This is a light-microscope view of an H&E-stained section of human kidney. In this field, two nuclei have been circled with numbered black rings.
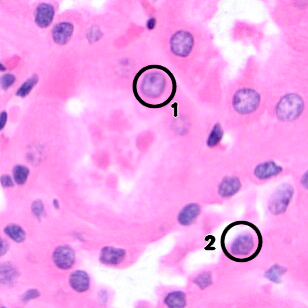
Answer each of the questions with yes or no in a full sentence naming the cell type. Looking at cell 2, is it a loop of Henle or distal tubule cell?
Yes, the cell shown as number 2 is a loop of Henle or distal tubule cell.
